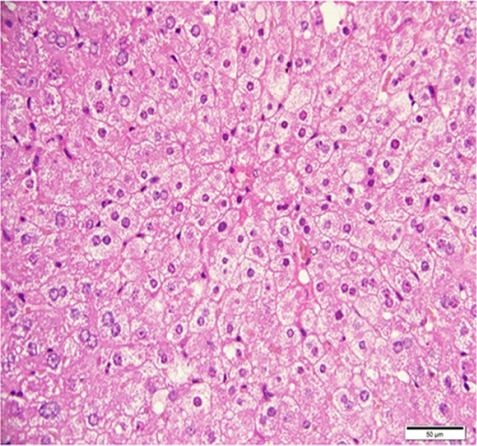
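Liver tissue in which the hepatocytes are enlarged and crowded, with pale, cleared and wispy cytoplasm and distinct cell borders. Their round nuclei sit centrally in the swollen cells, and the sinusoidal spaces between cords are largely compressed. The even pink cytoplasm seen in normal liver is replaced by this pale, cleared look across most of the field. This swelling of liver cells with cleared cytoplasm fits hydropic degeneration of hepatocytes.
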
